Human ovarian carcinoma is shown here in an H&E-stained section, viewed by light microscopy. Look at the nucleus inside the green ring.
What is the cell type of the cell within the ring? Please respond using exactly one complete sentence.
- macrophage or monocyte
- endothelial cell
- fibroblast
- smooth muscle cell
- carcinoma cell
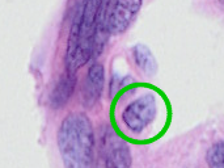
Students should answer that the cell within the ring is a macrophage or monocyte.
